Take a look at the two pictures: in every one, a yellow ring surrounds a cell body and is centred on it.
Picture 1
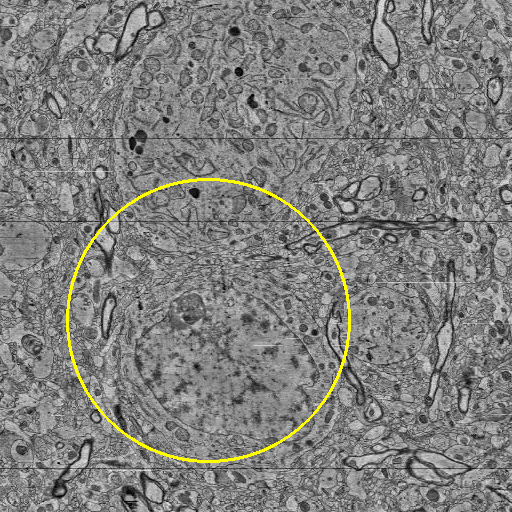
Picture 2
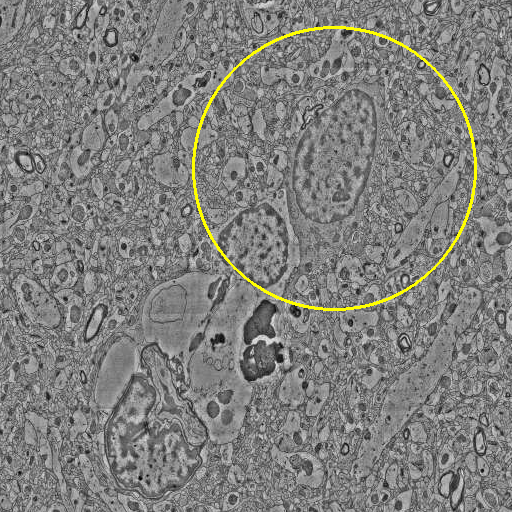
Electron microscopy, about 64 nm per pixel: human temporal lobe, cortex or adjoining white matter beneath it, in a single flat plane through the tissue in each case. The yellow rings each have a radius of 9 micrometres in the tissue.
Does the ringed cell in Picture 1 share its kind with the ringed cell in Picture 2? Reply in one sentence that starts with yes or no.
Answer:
No, the two centred cells, one per picture, are of two kinds.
